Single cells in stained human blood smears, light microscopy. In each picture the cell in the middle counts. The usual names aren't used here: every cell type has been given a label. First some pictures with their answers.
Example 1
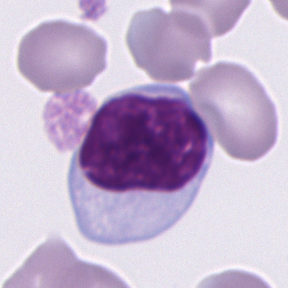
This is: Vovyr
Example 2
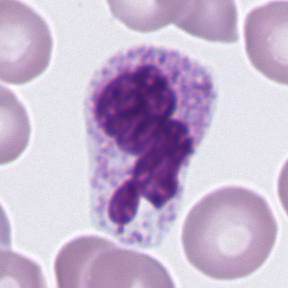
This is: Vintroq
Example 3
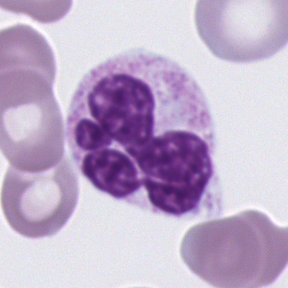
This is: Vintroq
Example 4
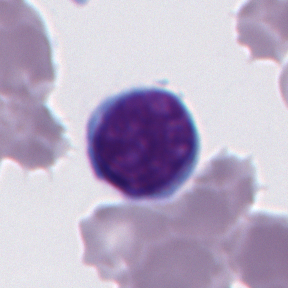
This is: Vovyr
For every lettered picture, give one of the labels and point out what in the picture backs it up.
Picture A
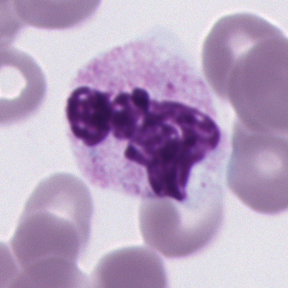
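Vintroq. Reason: The cytoplasm is pale pinkish-lilac rather than blue.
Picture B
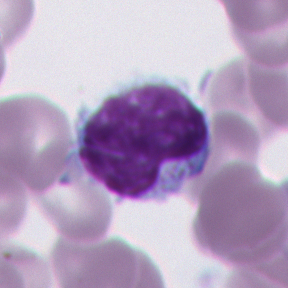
Vovyr. Reason: The cytoplasm forms only a scant rim around the nucleus.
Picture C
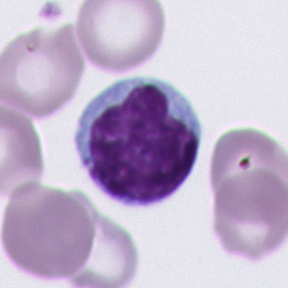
Vovyr. Reason: The cytoplasm is a narrow pale blue rim around the nucleus.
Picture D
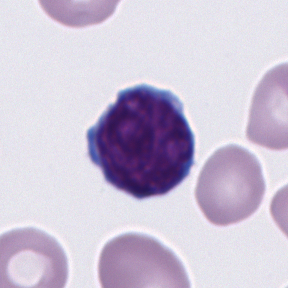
Vovyr. Reason: The cytoplasm forms only a narrow rim around the nucleus.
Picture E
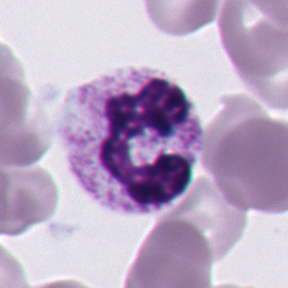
Vintroq. Reason: The cytoplasm is abundant and pale.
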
